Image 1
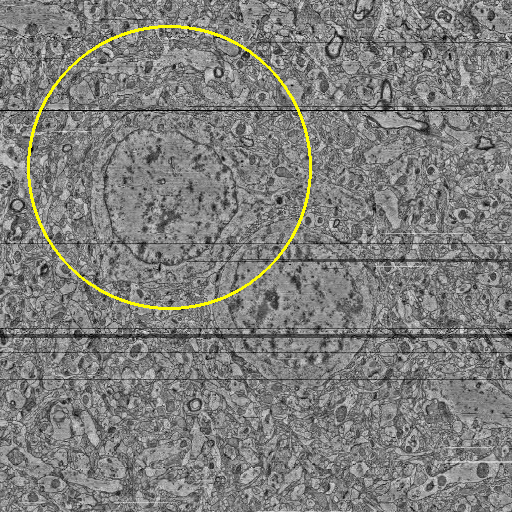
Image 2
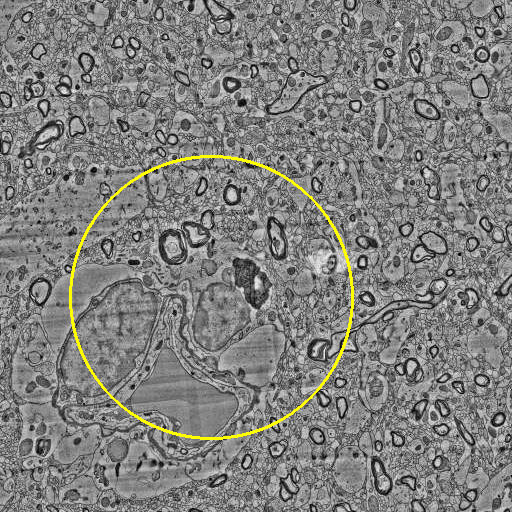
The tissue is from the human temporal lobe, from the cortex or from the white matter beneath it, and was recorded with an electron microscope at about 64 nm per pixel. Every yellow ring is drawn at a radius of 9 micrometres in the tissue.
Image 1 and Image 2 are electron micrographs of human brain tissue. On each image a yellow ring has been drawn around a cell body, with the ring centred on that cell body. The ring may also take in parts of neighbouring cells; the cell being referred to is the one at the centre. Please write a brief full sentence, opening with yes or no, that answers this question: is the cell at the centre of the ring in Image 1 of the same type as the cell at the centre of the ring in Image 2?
No, the two cells are of two types.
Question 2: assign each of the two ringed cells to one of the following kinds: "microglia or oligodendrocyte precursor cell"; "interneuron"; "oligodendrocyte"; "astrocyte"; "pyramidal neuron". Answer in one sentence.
The two cells are a pyramidal neuron in the first picture and an oligodendrocyte in the second.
